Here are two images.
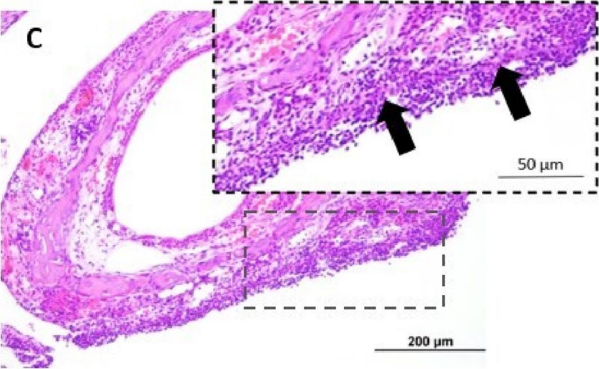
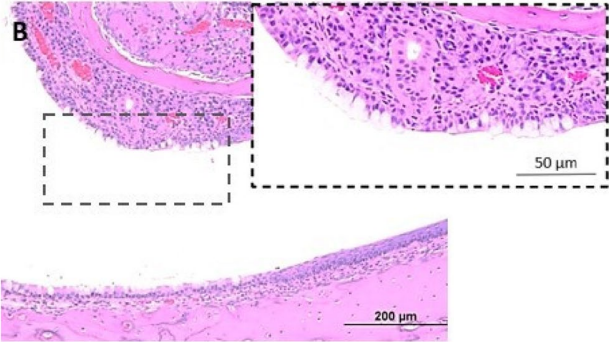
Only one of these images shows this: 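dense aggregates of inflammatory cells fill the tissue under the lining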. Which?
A: the first image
